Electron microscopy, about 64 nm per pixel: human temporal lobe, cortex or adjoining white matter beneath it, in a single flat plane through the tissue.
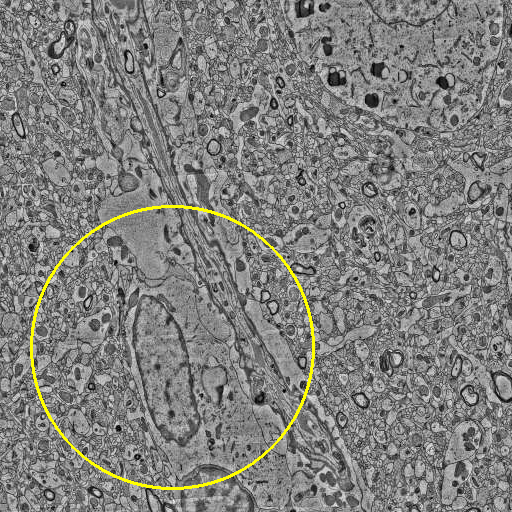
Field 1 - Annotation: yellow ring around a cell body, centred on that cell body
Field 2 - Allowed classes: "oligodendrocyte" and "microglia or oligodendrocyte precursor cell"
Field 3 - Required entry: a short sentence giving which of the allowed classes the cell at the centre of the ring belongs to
The centred cell is a microglial cell or oligodendrocyte precursor cell.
